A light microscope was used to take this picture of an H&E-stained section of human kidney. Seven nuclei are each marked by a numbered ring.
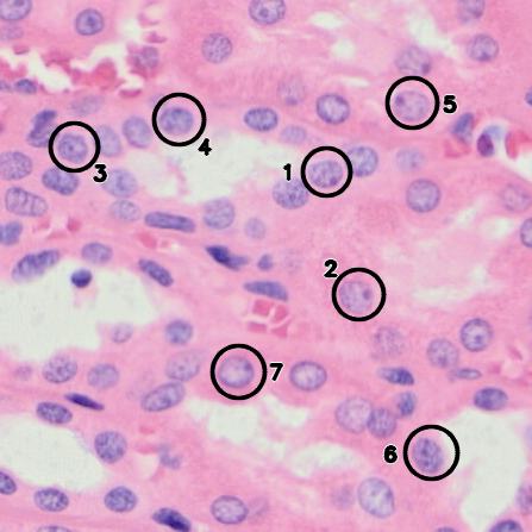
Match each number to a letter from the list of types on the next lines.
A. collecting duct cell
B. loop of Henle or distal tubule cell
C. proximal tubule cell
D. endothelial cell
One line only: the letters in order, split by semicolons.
A; C; A; A; C; B; C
